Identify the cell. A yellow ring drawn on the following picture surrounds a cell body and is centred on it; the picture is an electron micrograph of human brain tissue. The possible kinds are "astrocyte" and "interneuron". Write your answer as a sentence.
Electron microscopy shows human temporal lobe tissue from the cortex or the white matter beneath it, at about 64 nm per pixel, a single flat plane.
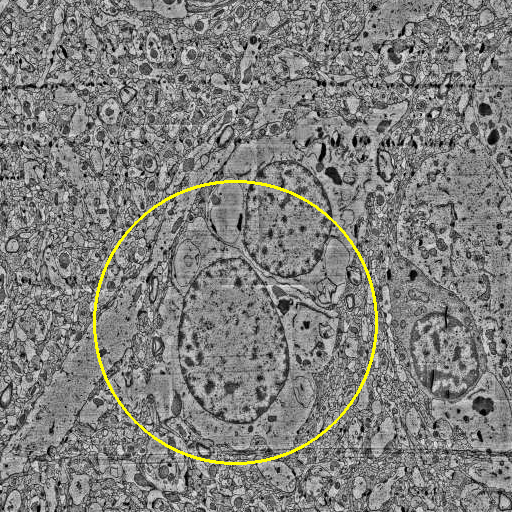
The cell identified by the ring is an astrocyte.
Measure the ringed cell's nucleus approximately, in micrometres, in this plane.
About 11 by 7 micrometers; the nucleus is clearly longer than it is wide in this plane.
